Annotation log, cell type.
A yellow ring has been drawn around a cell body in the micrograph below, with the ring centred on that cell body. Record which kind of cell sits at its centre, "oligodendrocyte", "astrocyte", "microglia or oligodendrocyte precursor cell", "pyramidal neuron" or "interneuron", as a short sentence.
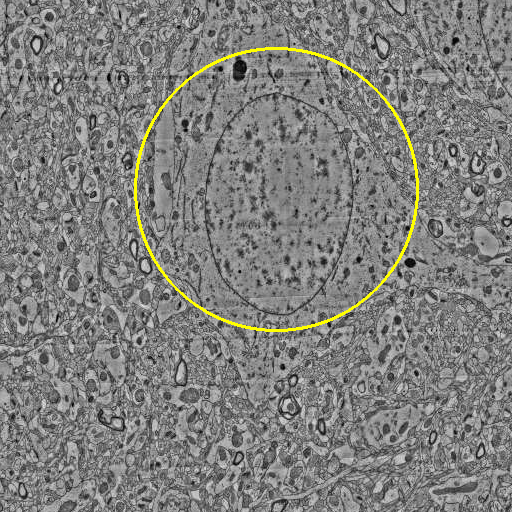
The cell at the centre of this ring is a pyramidal neuron.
